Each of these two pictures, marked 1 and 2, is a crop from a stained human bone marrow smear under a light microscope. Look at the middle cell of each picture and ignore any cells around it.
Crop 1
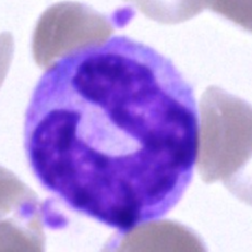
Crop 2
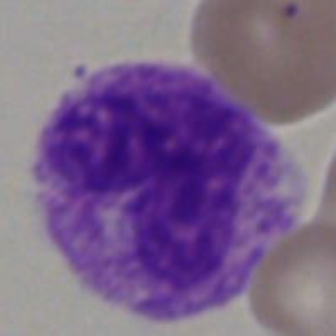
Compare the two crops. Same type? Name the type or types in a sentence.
No, crop 1 contains a monocyte, and crop 2 contains a band neutrophil.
